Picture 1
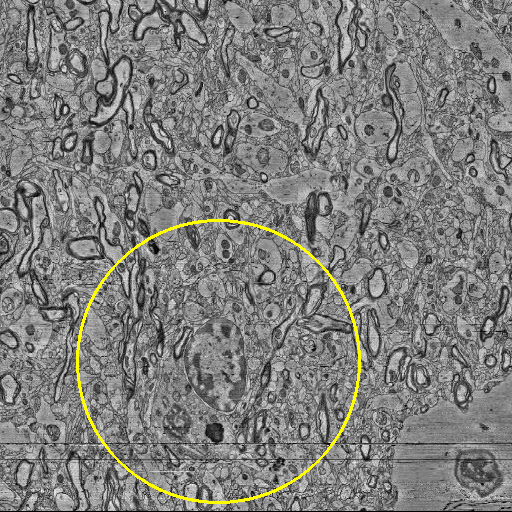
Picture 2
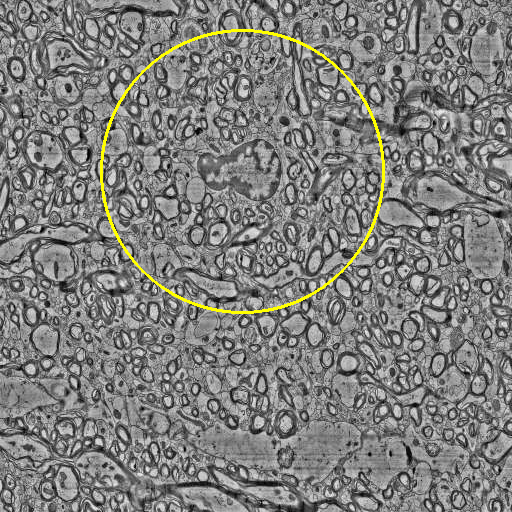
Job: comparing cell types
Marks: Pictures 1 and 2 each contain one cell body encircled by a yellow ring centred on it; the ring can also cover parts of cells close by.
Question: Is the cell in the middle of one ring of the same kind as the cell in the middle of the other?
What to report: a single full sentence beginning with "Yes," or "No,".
Yes, the cell at the ring centre in Picture 1 and its partner in Picture 2 are of one kind.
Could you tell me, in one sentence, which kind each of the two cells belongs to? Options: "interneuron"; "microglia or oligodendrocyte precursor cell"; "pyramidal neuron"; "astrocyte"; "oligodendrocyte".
Each of the two rings is centred on a microglial cell or oligodendrocyte precursor cell.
